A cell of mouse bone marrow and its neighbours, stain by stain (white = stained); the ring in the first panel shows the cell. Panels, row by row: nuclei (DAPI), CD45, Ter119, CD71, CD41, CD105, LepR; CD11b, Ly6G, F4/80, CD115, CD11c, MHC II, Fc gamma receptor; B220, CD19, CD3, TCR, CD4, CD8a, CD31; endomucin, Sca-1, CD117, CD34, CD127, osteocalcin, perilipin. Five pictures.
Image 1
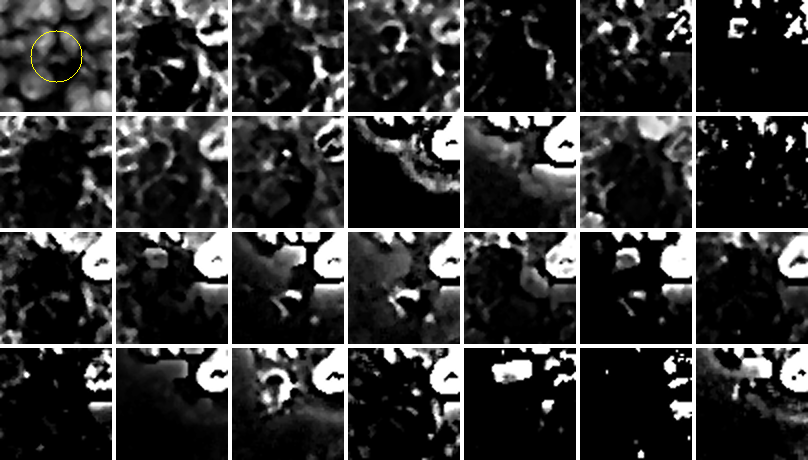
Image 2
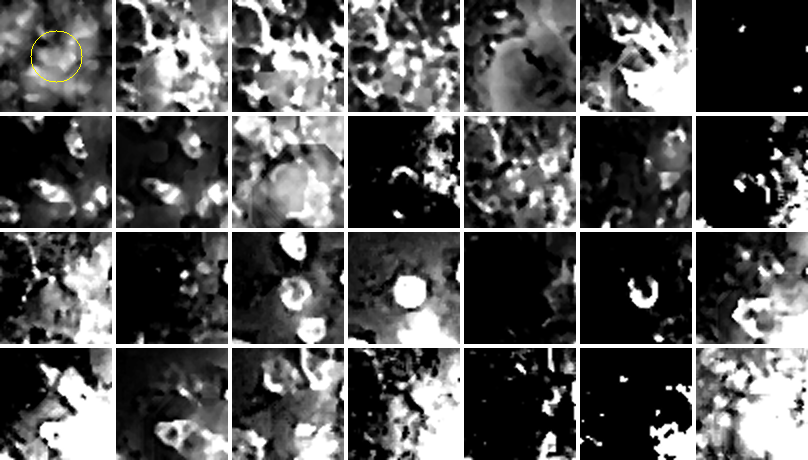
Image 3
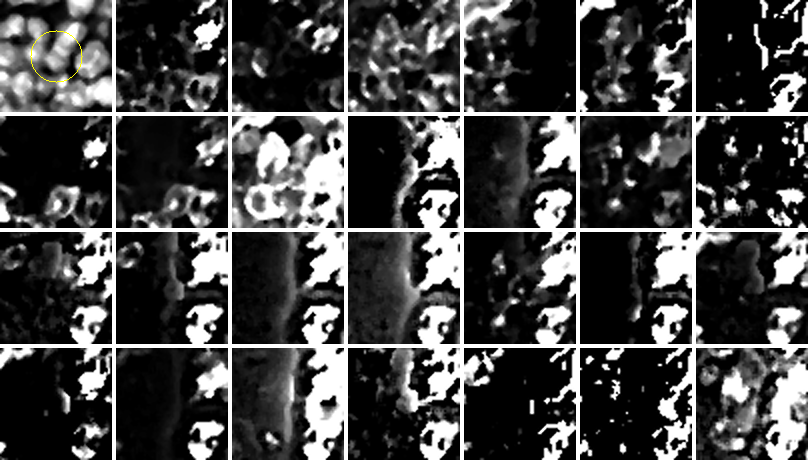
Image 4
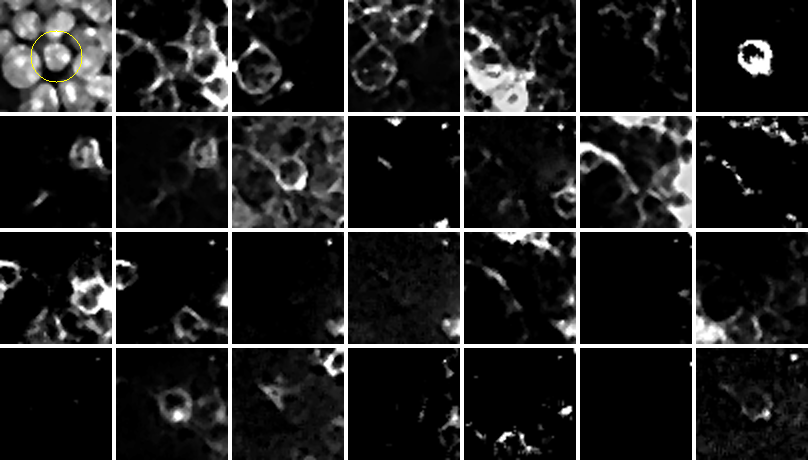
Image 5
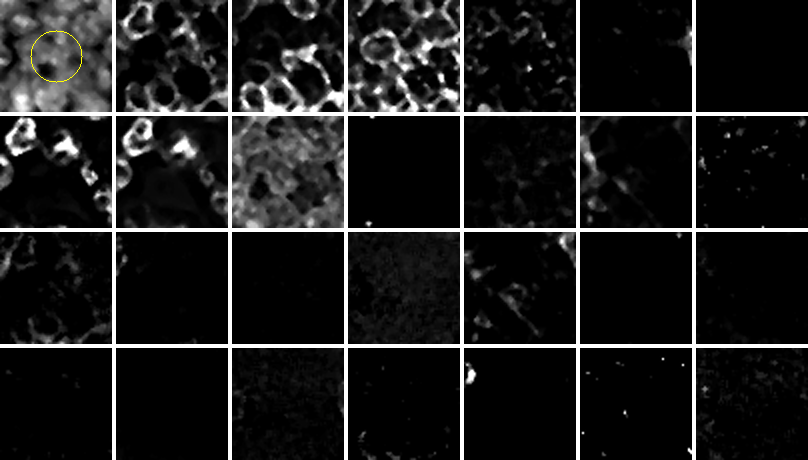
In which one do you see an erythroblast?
In picture 5.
